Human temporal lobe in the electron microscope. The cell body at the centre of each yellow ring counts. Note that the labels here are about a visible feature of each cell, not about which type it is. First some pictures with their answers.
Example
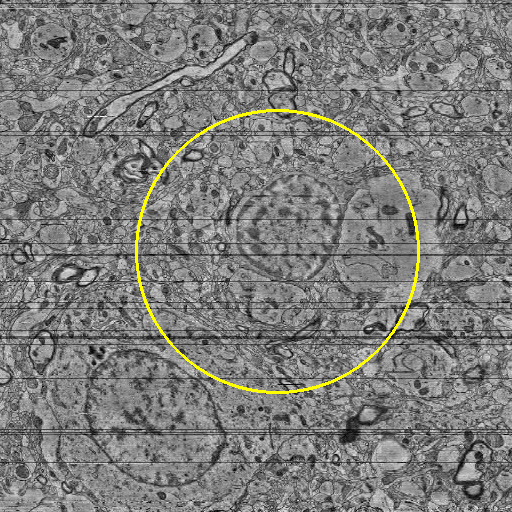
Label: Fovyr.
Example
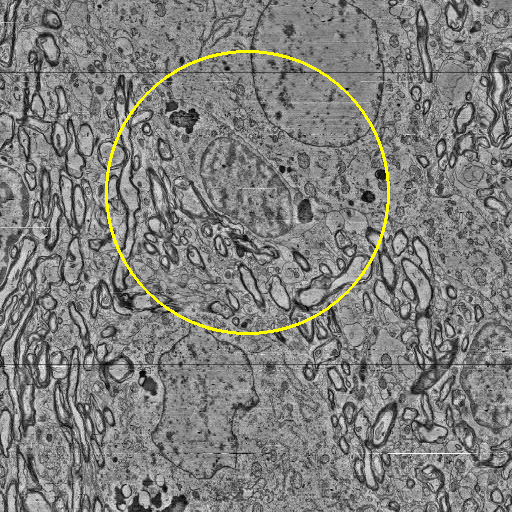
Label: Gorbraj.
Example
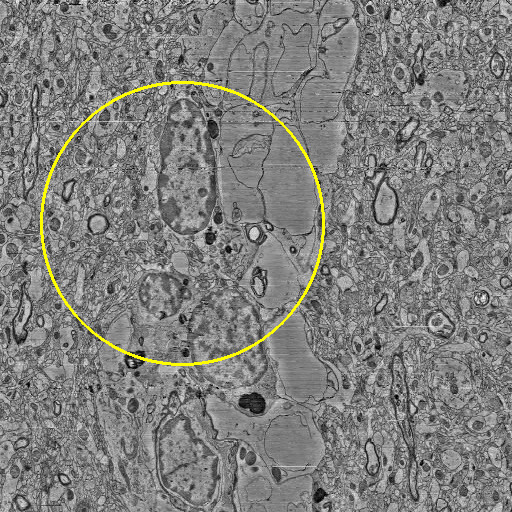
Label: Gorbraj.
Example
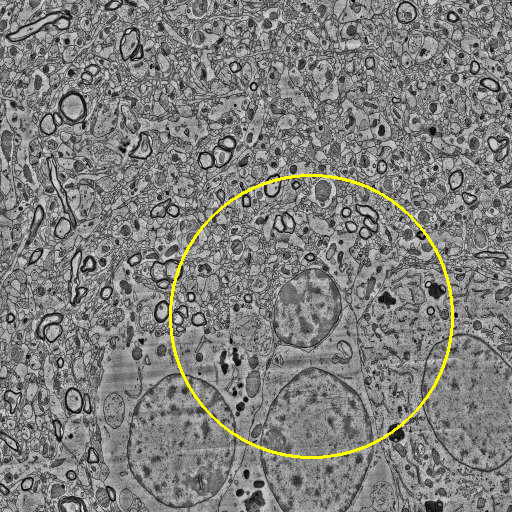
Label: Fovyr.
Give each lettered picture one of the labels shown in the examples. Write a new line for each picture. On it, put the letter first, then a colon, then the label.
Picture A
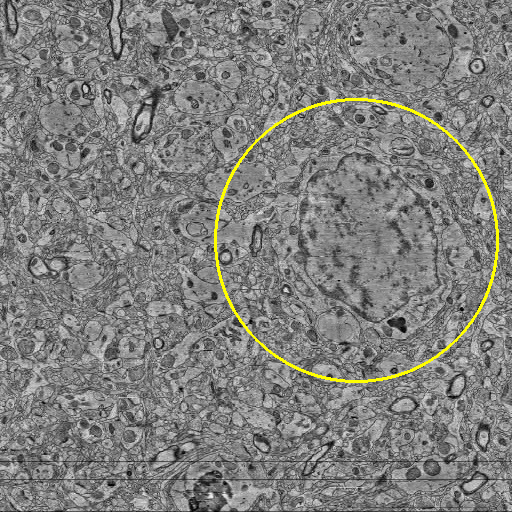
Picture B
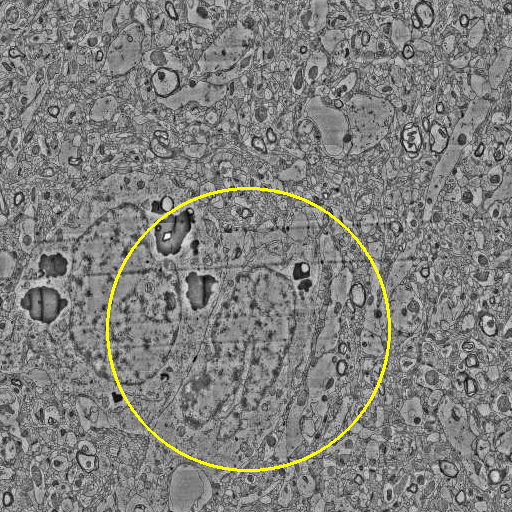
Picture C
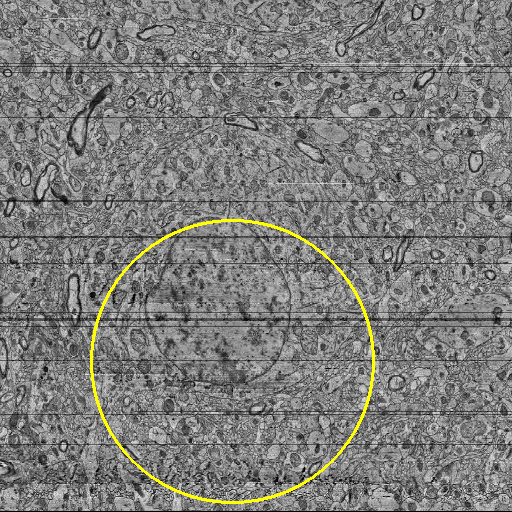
A: Fovyr.
B: Gorbraj.
C: Fovyr.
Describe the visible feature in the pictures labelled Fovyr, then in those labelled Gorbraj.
Fovyr: round or nearly round nuclei; Gorbraj: clearly elongated nuclei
